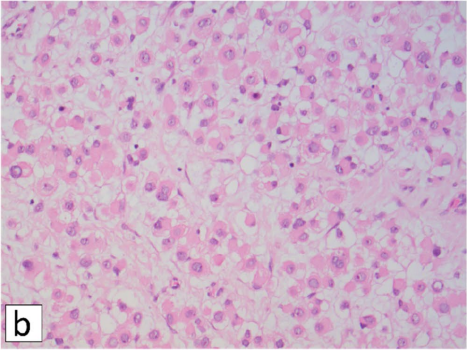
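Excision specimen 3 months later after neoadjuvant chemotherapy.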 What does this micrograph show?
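Tumor cells with rhabdoid features lie scattered in an abundant pale myxoid matrix. Each cell is rounded to polygonal with plentiful glassy pink cytoplasm, and a round nucleus, often set toward one side, carrying a distinct prominent nucleolus. The cells are separated from one another by clear to faintly pink loose matrix, so the tissue appears much less crowded than a densely cellular tumor. Nuclear size is fairly even, and the cells do not line spaces or form alveolar clusters.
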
